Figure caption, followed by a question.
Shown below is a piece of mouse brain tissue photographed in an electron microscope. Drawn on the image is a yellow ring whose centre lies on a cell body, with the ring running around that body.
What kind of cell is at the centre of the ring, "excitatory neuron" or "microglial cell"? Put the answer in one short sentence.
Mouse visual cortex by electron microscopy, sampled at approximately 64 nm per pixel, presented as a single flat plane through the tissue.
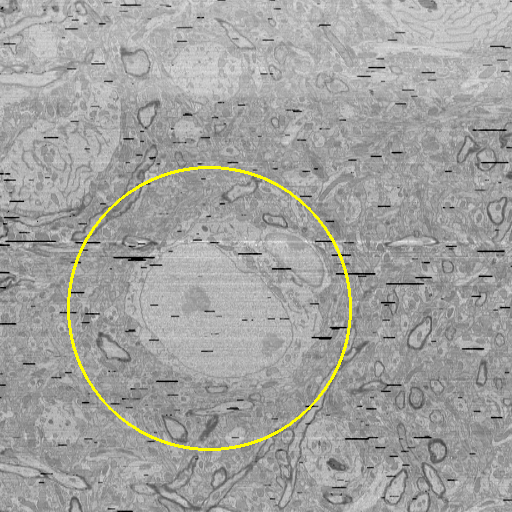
The ring marks the cell body of an excitatory neuron.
